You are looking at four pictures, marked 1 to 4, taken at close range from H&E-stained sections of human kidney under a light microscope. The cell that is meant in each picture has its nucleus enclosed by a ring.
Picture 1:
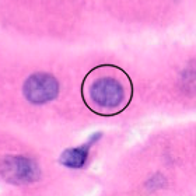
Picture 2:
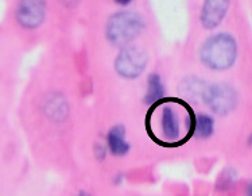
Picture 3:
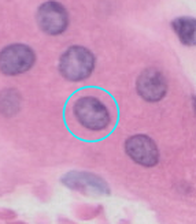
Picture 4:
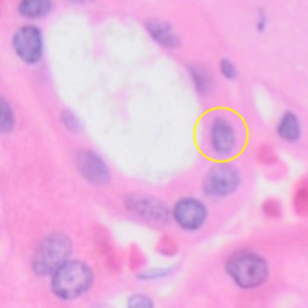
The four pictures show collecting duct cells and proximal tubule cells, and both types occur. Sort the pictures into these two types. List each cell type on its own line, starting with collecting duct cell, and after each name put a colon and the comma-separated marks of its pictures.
collecting duct cell: 2, 4
proximal tubule cell: 1, 3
